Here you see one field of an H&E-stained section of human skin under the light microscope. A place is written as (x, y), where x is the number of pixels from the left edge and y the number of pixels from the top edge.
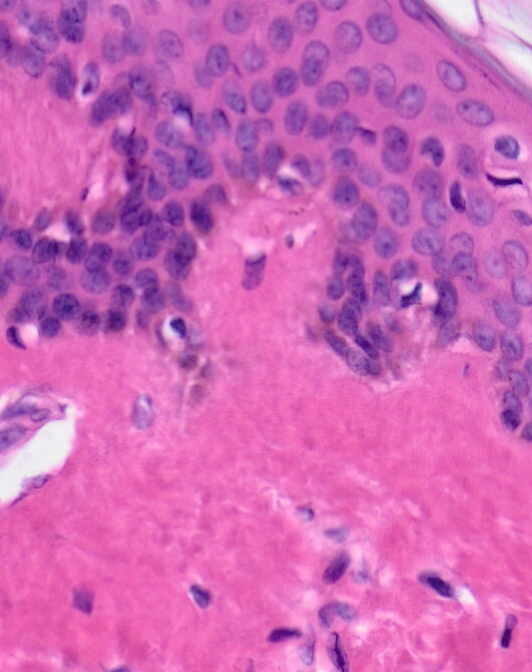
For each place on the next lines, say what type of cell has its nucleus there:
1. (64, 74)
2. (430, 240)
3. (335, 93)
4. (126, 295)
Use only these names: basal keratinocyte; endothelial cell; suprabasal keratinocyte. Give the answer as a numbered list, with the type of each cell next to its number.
1. basal keratinocyte
2. suprabasal keratinocyte
3. suprabasal keratinocyte
4. basal keratinocyte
